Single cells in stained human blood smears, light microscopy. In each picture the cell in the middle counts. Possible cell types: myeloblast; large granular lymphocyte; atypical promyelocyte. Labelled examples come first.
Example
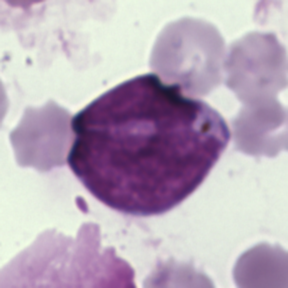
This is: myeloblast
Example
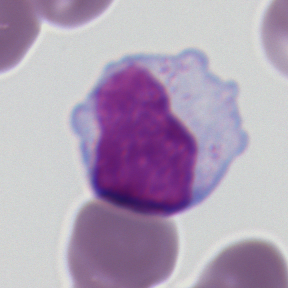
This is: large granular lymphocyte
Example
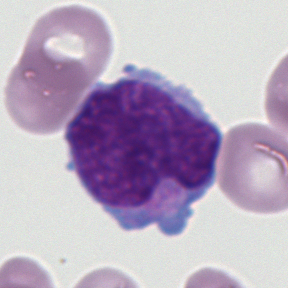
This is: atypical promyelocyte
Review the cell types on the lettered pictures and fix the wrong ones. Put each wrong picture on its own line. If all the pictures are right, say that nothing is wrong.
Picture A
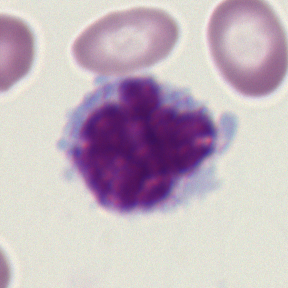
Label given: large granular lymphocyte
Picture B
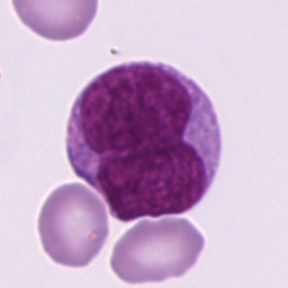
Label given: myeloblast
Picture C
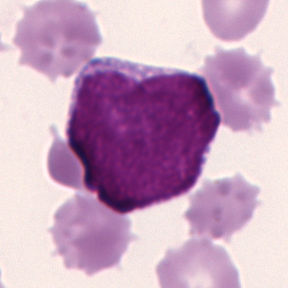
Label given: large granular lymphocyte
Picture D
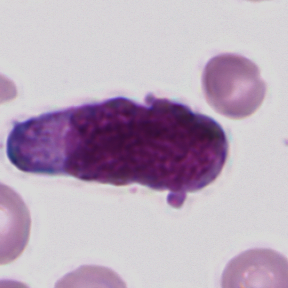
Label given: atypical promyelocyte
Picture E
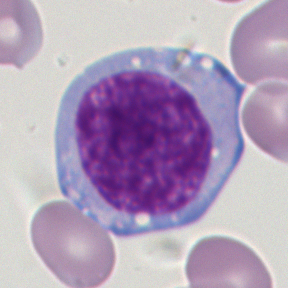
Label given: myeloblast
Wrong: C (large granular lymphocyte); correct: myeloblast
